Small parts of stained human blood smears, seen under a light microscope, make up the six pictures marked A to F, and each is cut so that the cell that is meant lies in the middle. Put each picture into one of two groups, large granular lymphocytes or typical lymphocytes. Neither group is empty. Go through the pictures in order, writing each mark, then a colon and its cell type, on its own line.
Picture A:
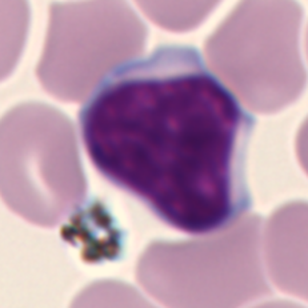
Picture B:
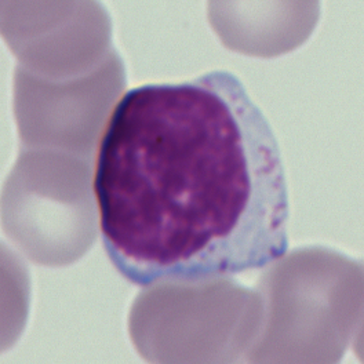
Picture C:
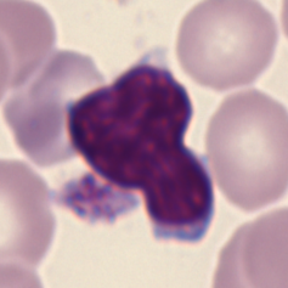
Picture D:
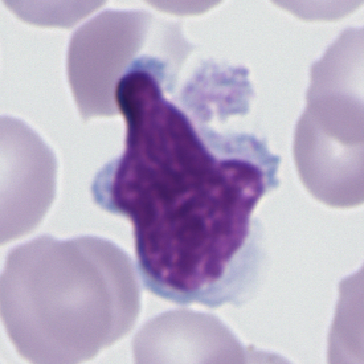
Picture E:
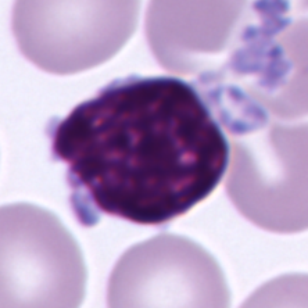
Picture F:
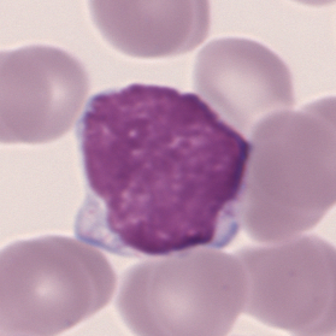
A: typical lymphocyte
B: large granular lymphocyte
C: typical lymphocyte
D: large granular lymphocyte
E: typical lymphocyte
F: large granular lymphocyte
